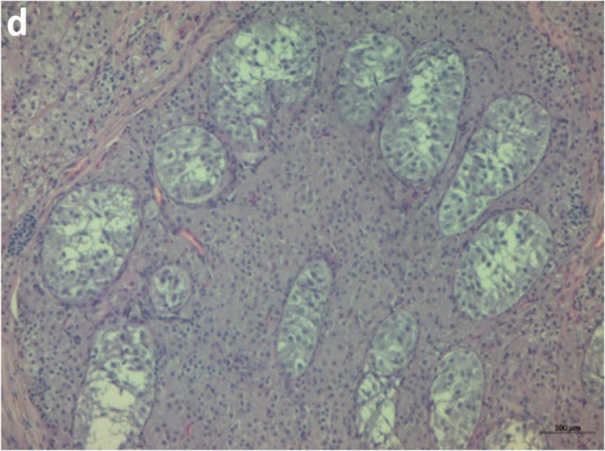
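This is a section of testis in which rounded and oval seminiferous tubules lie scattered within a broad interstitium. The tubules are filled with large pale cells whose cytoplasm looks foamy and vacuolated, and no layered developing germ cells or open lumens are seen. Between the tubules, sheets of closely packed polygonal cells with pink cytoplasm and round nuclei make up most of the tissue. Thin strands of pinker connective tissue run along the edges of the field.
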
